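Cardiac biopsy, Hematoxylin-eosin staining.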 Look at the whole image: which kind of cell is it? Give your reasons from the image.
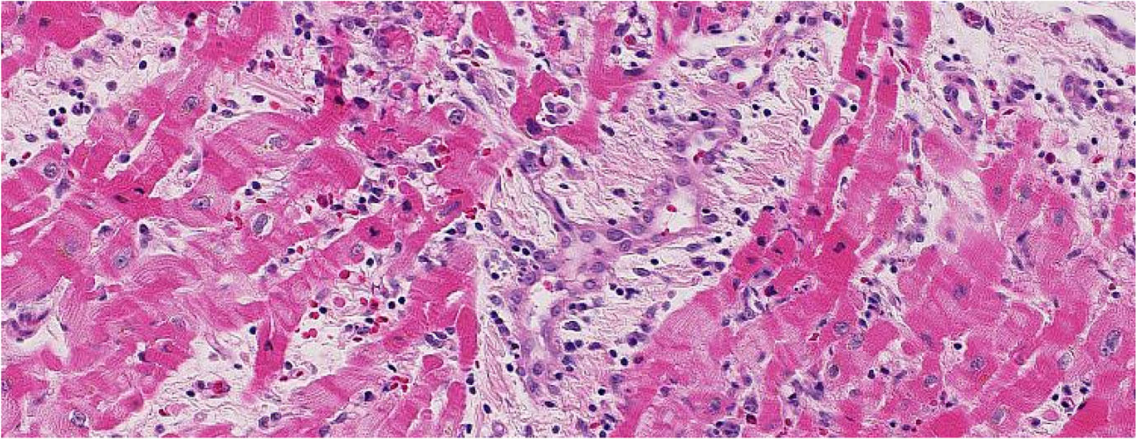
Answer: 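Many small cells with round, dark purple nuclei and scant cytoplasm lie scattered between the muscle fibers. These small round cells are much smaller than the nuclei of the pink muscle cells.
Lymphocytes.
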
